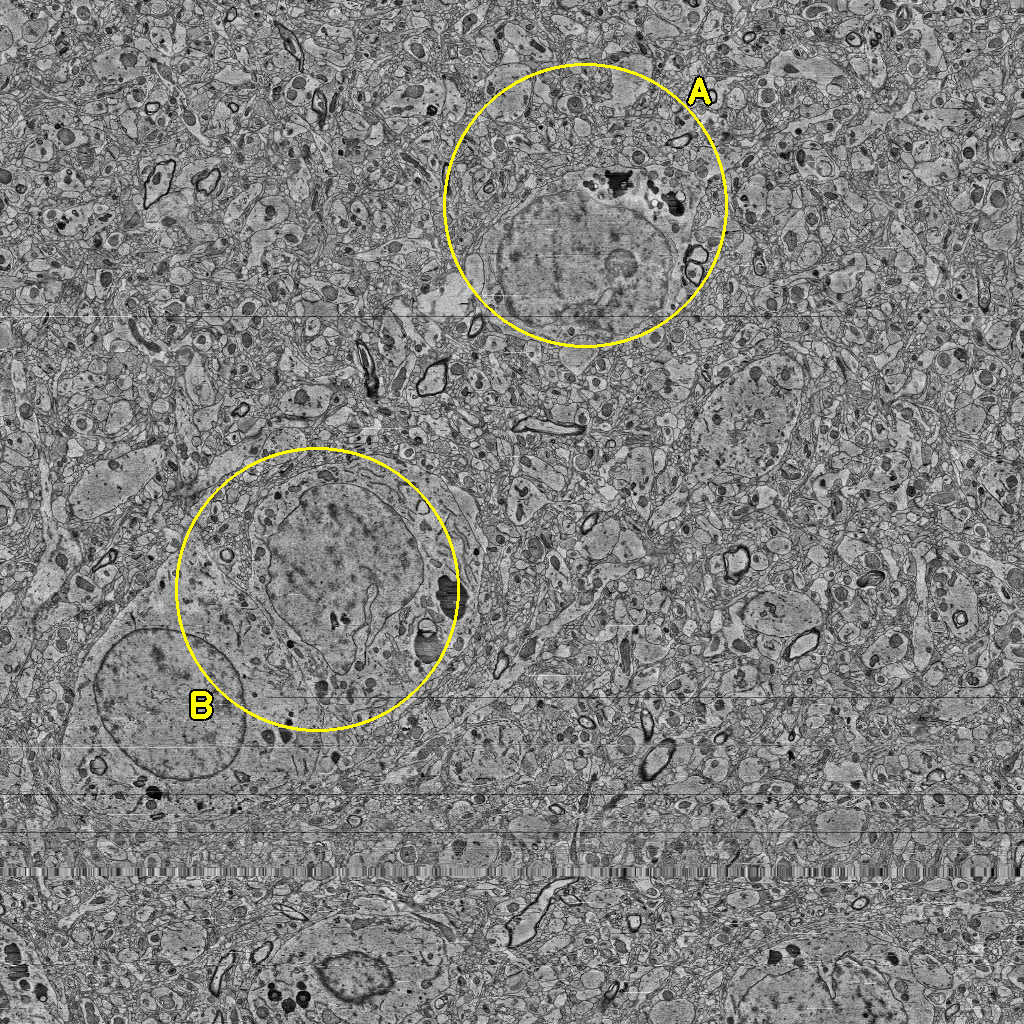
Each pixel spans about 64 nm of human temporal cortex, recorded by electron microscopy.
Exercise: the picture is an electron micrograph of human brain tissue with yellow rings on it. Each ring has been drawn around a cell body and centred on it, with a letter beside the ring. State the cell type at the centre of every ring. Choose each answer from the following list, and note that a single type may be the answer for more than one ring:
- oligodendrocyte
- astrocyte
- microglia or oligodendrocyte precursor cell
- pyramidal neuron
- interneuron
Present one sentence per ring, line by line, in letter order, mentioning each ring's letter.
Ring A shows an interneuron at its centre.
Ring B shows an interneuron at its centre.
